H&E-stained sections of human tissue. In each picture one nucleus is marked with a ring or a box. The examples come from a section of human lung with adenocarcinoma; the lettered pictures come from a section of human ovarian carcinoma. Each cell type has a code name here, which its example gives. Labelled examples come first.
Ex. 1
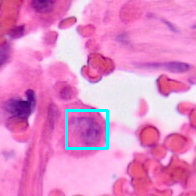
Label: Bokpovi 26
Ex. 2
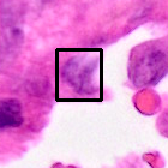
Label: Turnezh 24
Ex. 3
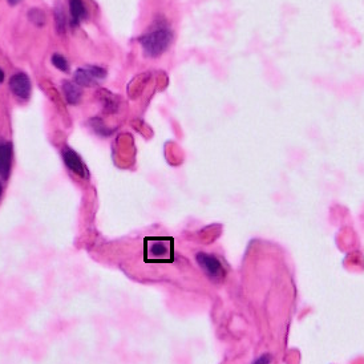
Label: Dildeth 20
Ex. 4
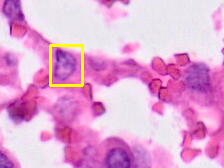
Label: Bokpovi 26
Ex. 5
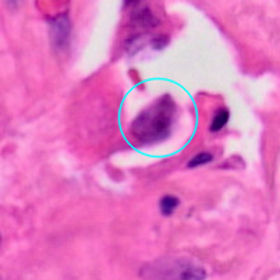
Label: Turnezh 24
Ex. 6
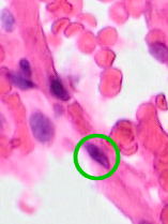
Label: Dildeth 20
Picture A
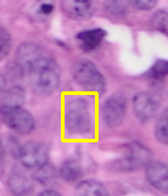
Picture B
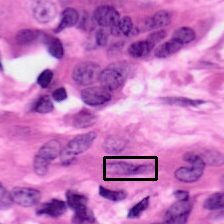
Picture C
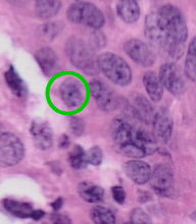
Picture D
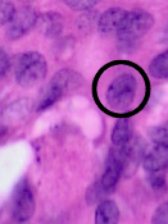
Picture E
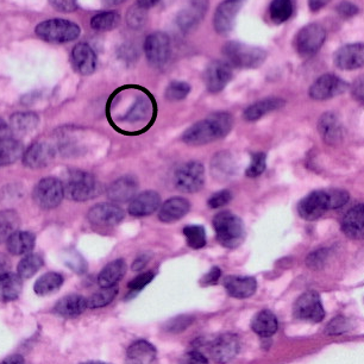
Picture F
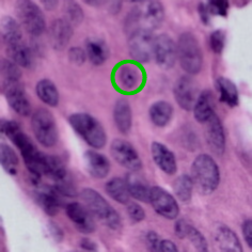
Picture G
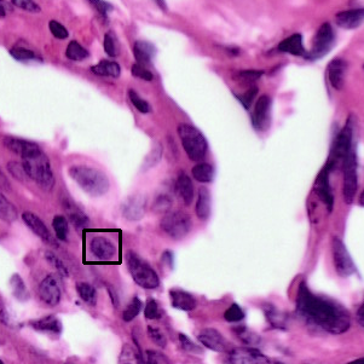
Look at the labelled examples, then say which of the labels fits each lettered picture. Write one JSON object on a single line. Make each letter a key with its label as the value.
{"A": "Turnezh 24", "B": "Dildeth 20", "C": "Bokpovi 26", "D": "Turnezh 24", "E": "Dildeth 20", "F": "Dildeth 20", "G": "Bokpovi 26"}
